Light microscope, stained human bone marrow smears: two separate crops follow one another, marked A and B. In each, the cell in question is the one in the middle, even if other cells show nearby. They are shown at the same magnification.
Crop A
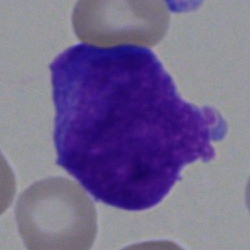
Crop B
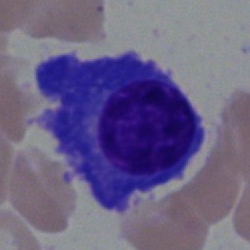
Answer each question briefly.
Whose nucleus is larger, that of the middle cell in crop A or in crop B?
A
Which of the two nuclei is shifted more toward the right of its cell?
B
